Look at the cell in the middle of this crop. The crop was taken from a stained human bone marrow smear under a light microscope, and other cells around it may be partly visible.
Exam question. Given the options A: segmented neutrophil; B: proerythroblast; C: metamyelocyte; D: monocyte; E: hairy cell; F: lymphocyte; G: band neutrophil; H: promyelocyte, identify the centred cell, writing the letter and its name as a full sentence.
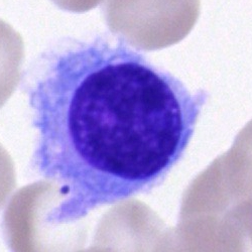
The cell in the middle is a hairy cell, and that makes option E correct.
